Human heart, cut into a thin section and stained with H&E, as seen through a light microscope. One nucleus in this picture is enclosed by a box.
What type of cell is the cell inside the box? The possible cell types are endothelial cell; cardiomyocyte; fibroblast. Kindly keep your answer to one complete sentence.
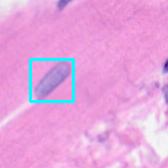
Cell type answer for this item: the cell inside the box is a cardiomyocyte.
